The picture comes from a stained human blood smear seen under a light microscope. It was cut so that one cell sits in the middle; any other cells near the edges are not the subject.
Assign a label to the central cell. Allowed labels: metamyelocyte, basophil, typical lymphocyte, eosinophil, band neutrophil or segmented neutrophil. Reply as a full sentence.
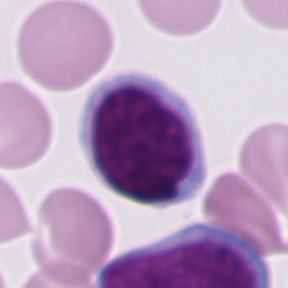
Here the centrally located cell is a typical lymphocyte.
